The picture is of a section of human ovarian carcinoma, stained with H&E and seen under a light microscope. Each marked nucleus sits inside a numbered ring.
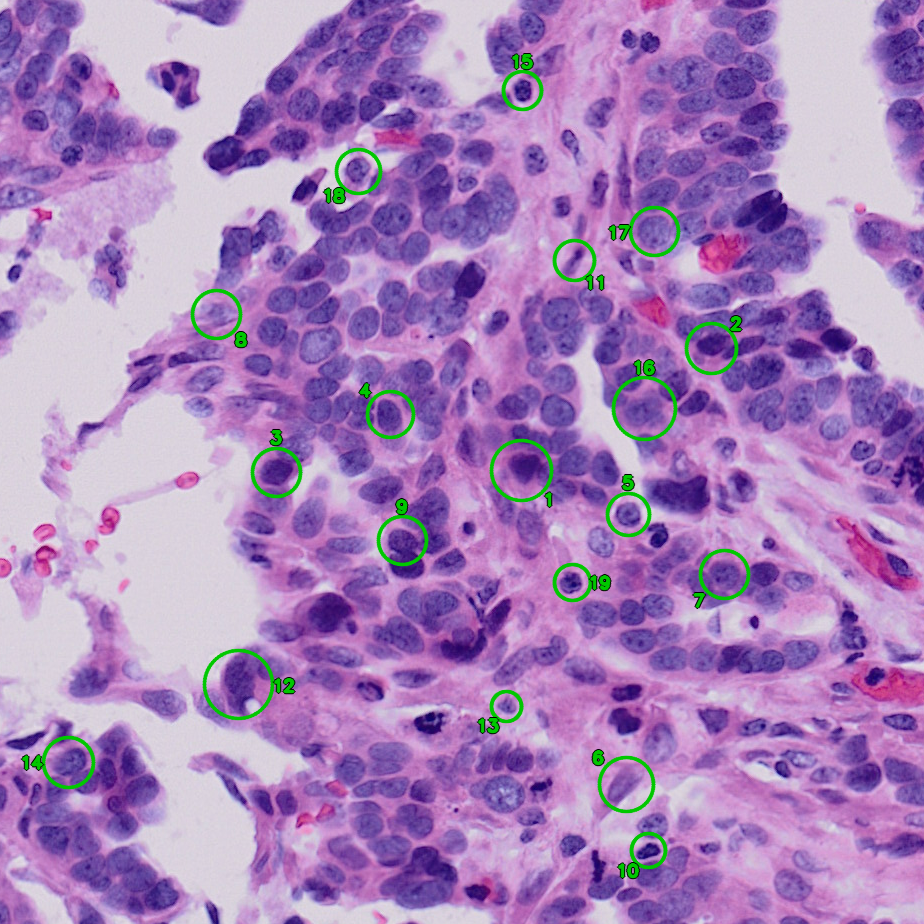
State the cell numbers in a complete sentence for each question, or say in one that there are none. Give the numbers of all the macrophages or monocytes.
The cells carrying the numbers 5 and 18 are macrophages or monocytes.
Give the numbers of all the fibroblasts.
The cells that the numbers 6, 8 and 11 belong to are fibroblasts.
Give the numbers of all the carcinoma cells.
Classified as carcinoma cells are the cells numbered 1, 2, 3, 4, 7, 9, 12, 14, 16 and 17.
